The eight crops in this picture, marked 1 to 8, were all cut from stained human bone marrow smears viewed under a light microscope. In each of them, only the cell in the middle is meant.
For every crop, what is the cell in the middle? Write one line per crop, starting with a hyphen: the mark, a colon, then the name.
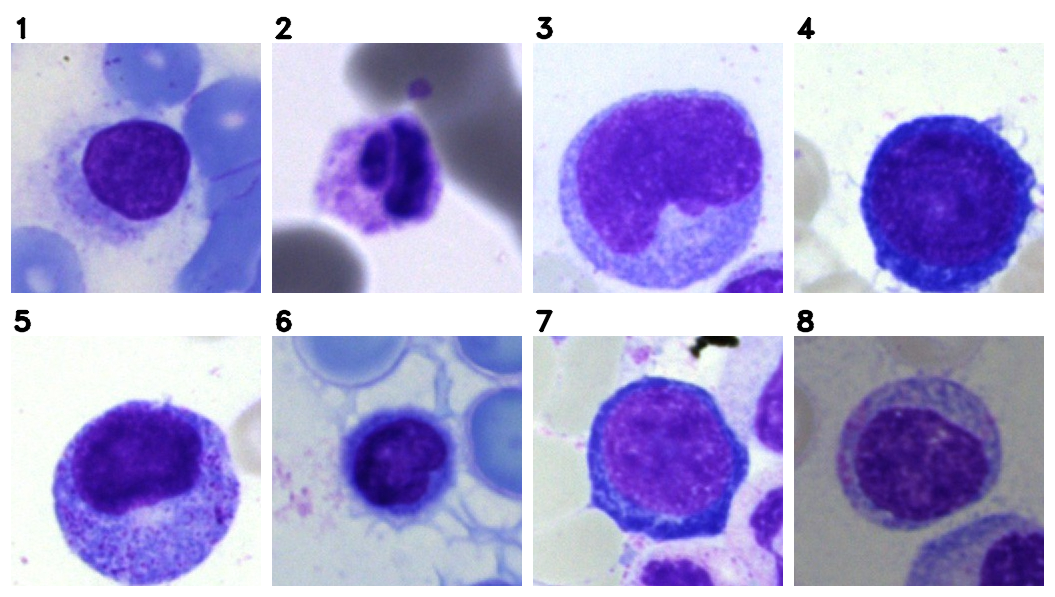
- 1: hairy cell
- 2: segmented neutrophil
- 3: monocyte
- 4: proerythroblast
- 5: promyelocyte
- 6: hairy cell
- 7: proerythroblast
- 8: myelocyte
